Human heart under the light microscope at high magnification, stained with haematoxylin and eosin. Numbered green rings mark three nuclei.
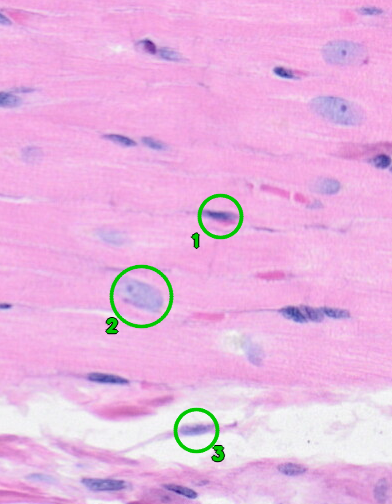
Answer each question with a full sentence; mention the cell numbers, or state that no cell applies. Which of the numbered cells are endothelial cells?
Cell 1 is the only numbered cell that is an endothelial cell.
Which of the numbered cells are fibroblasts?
Only the nucleus marked 3 is that of a fibroblast.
